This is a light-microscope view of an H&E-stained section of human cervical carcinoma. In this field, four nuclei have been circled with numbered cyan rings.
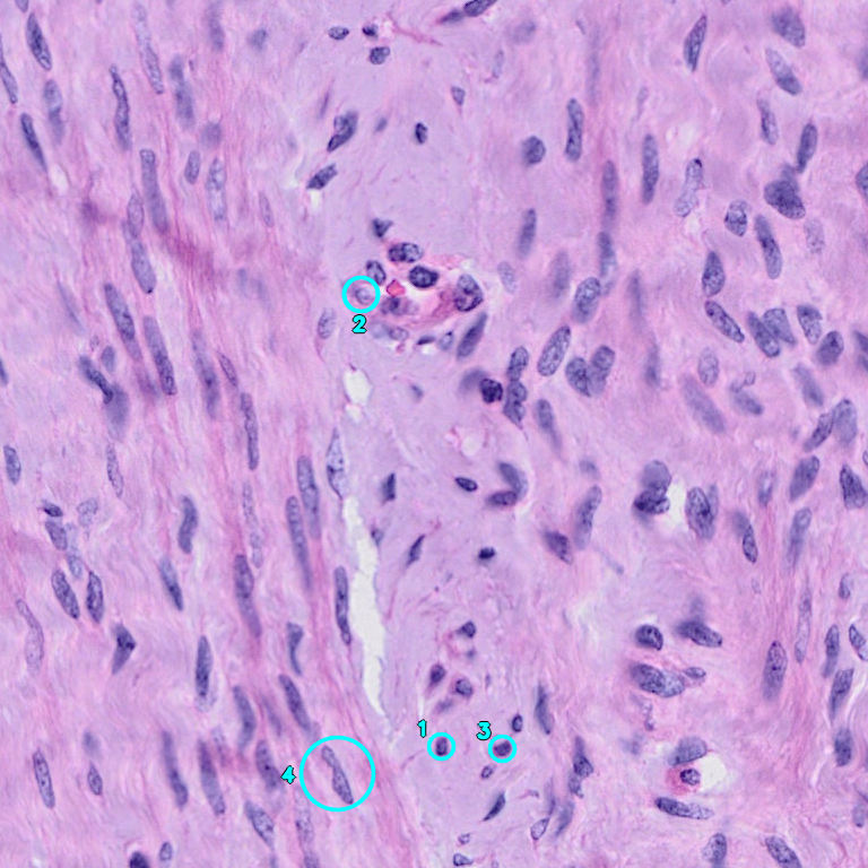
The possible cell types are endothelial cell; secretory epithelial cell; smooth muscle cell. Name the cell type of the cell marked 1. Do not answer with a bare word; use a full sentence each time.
The mark numbered 1 indicates the nucleus of a smooth muscle cell.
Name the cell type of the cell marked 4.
The cell assigned the number 4 is a smooth muscle cell.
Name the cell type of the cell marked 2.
The cell that is numbered 2 is an endothelial cell.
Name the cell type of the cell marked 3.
Looking at the numbered marks, cell 3 is a smooth muscle cell.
